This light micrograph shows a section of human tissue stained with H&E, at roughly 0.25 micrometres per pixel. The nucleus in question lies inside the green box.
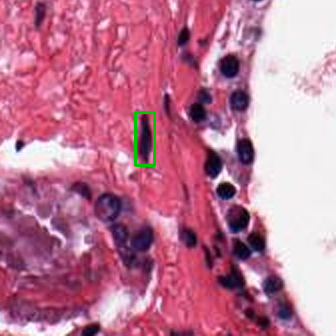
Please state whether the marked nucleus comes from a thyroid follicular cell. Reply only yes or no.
no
